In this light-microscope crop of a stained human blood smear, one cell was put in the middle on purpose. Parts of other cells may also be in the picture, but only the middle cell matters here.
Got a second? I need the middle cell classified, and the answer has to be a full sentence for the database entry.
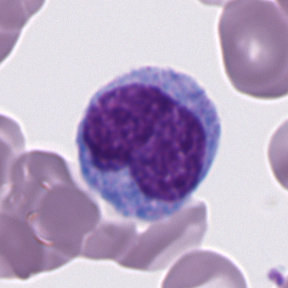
Centred in the crop is a monocyte.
